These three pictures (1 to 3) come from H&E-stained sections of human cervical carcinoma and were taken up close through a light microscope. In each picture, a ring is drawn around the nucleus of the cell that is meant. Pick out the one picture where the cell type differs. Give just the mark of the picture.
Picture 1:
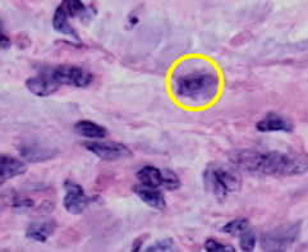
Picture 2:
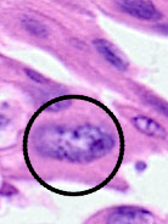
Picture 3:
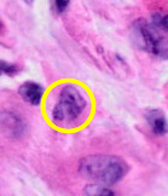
2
